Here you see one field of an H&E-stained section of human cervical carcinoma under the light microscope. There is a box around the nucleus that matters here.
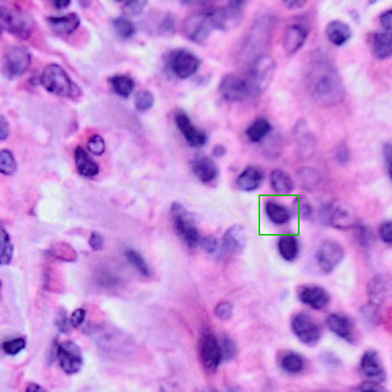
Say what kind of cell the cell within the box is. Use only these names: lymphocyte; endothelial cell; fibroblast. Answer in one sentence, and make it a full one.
In the tissue under study, the cell within the box is a lymphocyte.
